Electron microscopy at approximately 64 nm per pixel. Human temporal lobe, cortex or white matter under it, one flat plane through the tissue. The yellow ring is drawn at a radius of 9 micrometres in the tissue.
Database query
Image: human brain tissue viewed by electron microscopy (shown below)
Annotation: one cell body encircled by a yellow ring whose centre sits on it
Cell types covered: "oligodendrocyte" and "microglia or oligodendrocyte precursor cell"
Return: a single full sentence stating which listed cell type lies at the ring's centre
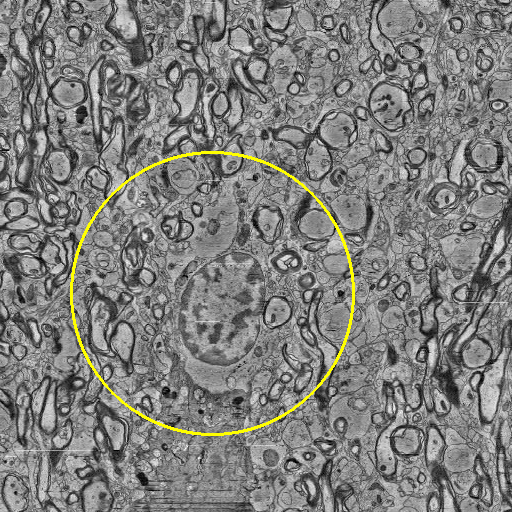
In the image, the cell lying at the ring's centre is a microglial cell or oligodendrocyte precursor cell.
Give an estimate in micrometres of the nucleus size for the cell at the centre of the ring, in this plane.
The ringed cell's nucleus is about 8 micrometres long and 5 micrometres wide in this plane.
